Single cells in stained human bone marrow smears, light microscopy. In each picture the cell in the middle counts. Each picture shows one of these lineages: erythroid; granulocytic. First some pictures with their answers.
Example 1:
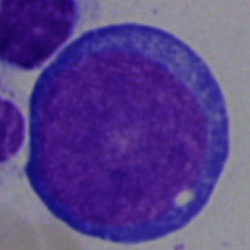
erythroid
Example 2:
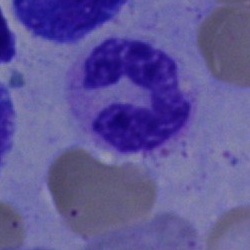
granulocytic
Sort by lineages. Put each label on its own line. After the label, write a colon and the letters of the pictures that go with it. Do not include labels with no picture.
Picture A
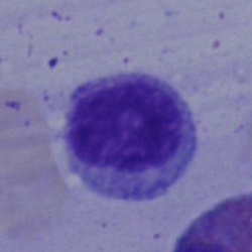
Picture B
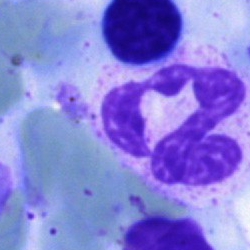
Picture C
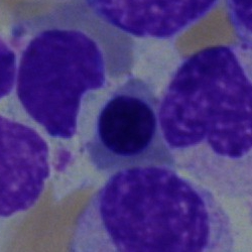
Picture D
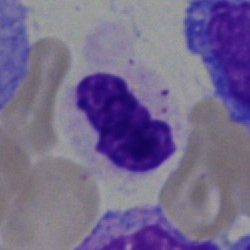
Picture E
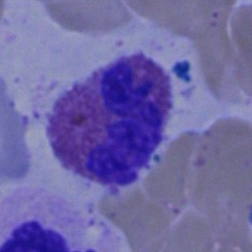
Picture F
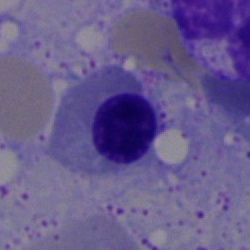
erythroid: C, F
granulocytic: A, B, D, E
